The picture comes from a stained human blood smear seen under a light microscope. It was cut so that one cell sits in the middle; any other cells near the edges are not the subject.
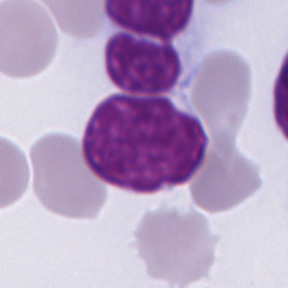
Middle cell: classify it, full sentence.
Located at the centre of the crop is a blast.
